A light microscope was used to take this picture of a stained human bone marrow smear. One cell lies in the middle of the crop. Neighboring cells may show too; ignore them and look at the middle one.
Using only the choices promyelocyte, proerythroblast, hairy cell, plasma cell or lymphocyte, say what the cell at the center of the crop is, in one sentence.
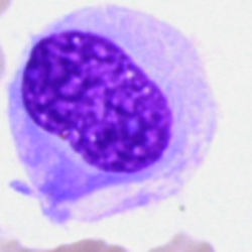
Here the centrally located cell is a hairy cell.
